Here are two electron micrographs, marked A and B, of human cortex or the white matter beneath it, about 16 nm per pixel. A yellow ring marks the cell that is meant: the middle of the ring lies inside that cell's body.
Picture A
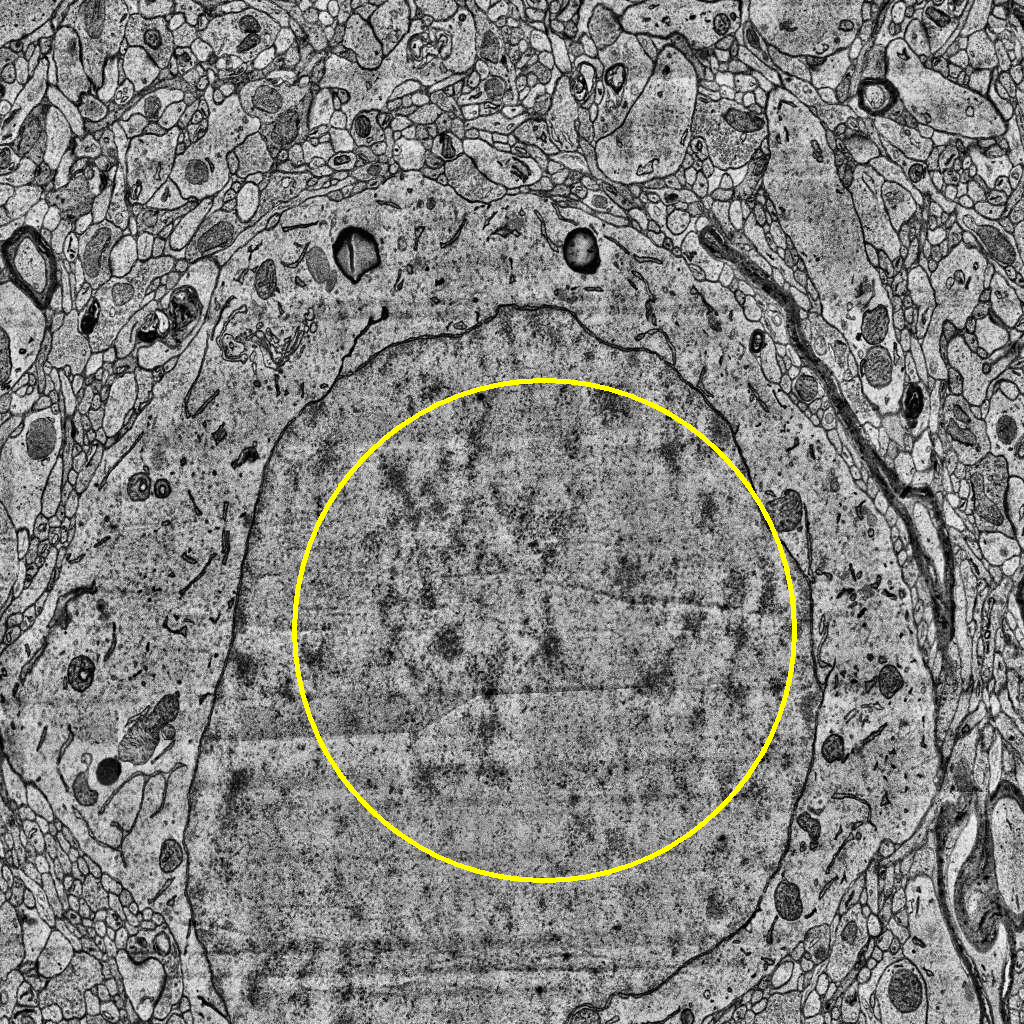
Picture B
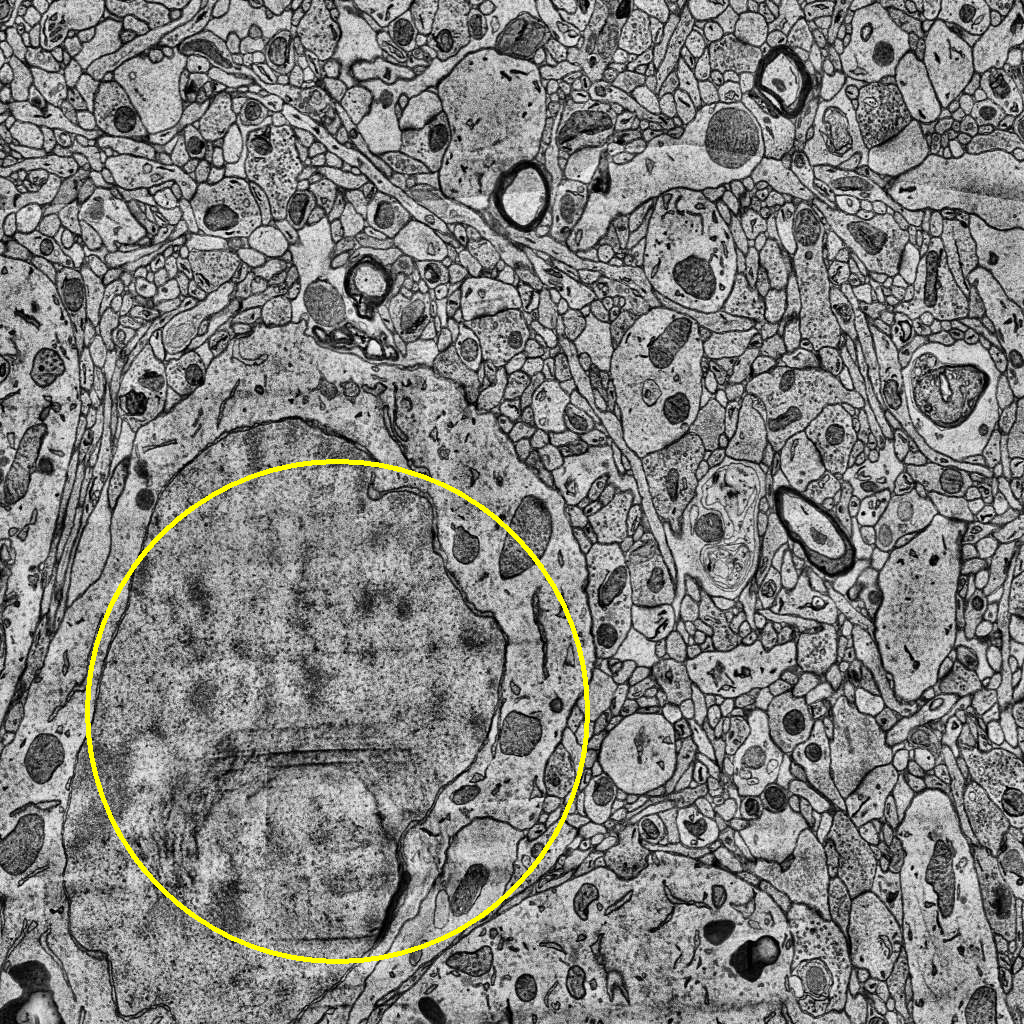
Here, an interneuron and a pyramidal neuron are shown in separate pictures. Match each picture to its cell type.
In picture A the cell is a pyramidal neuron; in picture B, an interneuron.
